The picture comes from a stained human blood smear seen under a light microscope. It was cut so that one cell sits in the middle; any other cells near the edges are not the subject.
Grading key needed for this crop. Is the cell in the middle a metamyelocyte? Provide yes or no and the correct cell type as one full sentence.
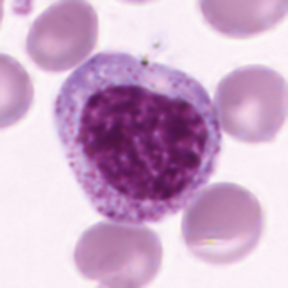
No, the cell in the middle is a myelocyte; it is not a metamyelocyte.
